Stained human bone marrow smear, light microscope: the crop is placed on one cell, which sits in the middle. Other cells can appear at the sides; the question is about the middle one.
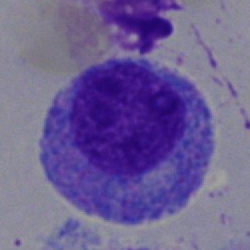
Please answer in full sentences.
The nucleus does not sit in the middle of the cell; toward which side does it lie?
Toward the top of the cell lies its nucleus.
